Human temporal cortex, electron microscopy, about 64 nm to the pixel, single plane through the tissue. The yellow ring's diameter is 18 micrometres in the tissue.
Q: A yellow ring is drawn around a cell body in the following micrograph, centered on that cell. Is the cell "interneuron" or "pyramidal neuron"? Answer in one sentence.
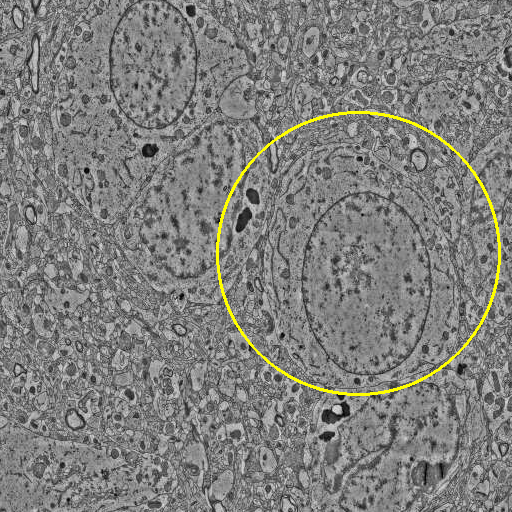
The cell in the center of the ring is a pyramidal neuron.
